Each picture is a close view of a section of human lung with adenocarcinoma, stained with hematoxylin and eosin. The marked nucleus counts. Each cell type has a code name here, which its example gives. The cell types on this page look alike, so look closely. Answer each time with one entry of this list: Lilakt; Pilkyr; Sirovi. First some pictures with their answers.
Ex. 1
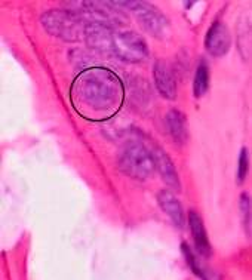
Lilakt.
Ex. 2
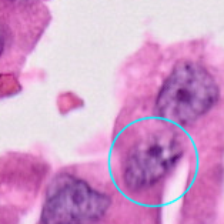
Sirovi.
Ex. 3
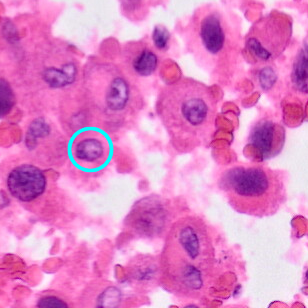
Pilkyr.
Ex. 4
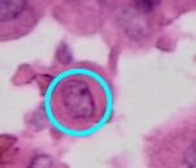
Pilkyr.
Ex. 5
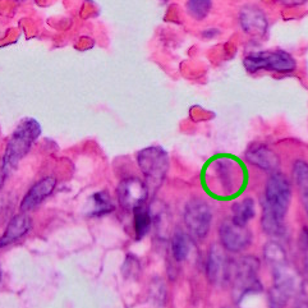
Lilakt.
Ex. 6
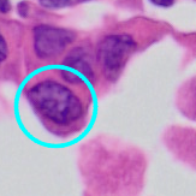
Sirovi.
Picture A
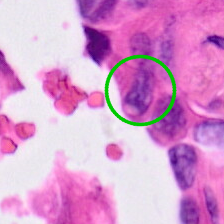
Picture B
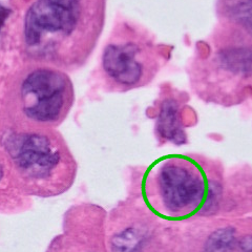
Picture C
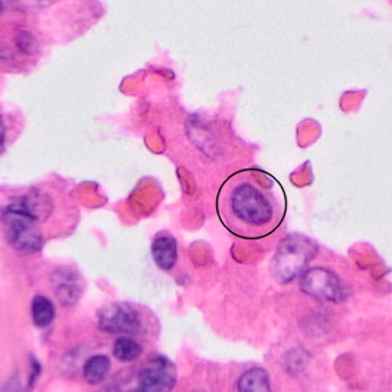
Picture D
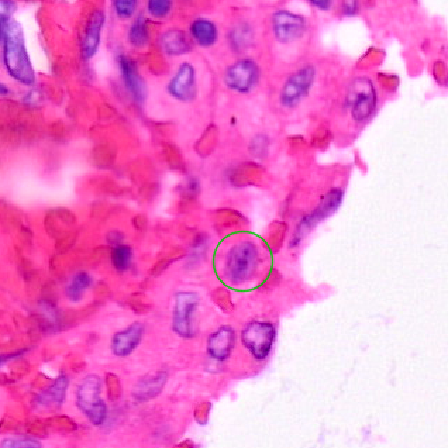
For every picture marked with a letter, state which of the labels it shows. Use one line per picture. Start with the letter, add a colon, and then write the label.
A: Sirovi.
B: Sirovi.
C: Pilkyr.
D: Pilkyr.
